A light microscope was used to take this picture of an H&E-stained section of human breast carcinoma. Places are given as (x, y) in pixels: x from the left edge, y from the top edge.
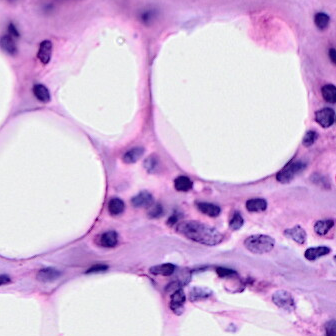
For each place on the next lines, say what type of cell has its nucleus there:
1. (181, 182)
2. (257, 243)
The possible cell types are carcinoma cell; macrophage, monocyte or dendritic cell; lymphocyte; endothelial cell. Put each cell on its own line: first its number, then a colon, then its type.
1: lymphocyte
2: macrophage, monocyte or dendritic cell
